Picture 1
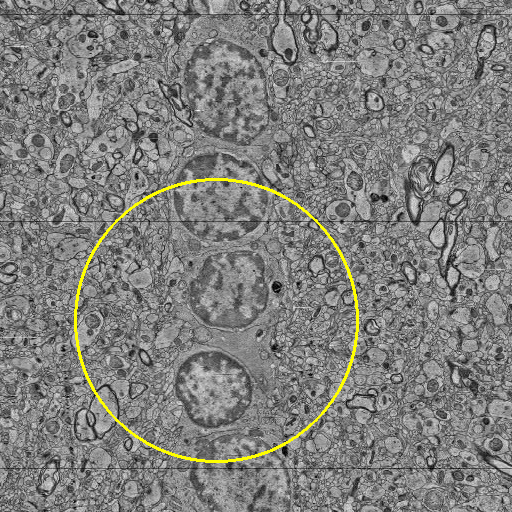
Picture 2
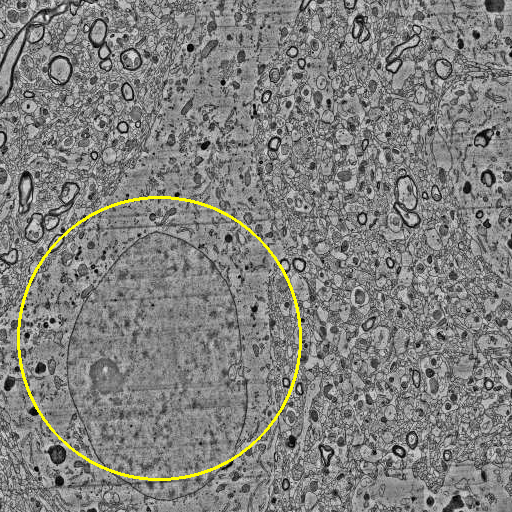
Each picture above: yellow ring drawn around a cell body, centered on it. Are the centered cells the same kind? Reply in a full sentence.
No, the two cells are two kinds of cell.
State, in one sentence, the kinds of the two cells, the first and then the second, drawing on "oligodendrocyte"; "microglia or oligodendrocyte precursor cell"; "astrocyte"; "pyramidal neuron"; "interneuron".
The ring in the second picture is centred on a pyramidal neuron, the ring in the first on an oligodendrocyte.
